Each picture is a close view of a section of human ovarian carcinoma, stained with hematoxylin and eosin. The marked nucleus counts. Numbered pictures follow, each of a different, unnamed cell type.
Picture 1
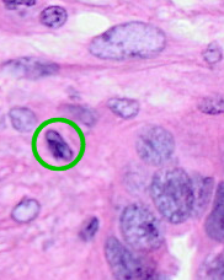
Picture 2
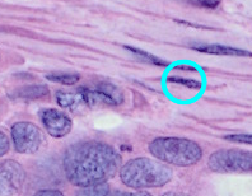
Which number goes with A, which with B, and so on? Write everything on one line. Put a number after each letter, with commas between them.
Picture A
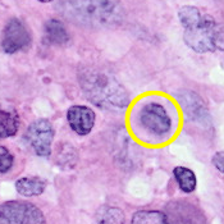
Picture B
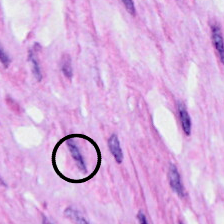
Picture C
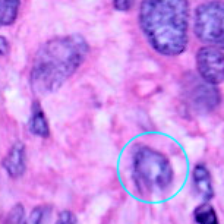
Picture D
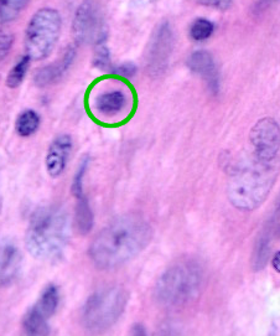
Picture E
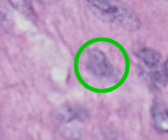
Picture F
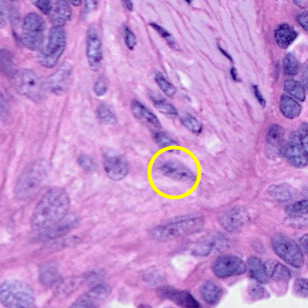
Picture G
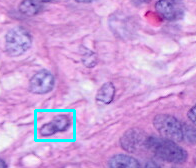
A 1, B 2, C 2, D 1, E 2, F 2, G 2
